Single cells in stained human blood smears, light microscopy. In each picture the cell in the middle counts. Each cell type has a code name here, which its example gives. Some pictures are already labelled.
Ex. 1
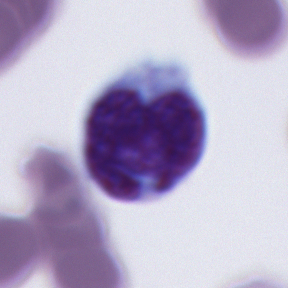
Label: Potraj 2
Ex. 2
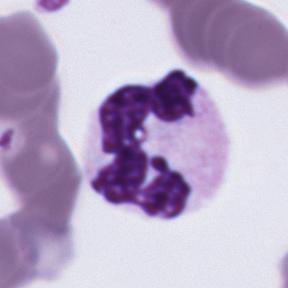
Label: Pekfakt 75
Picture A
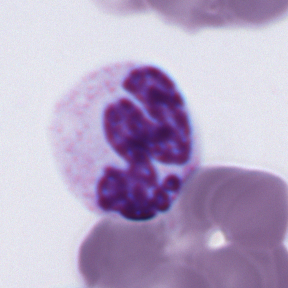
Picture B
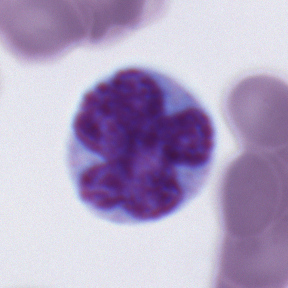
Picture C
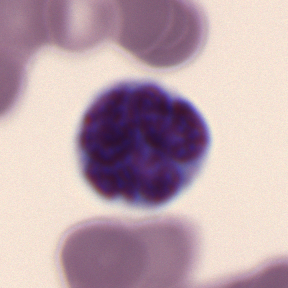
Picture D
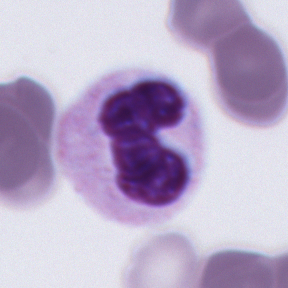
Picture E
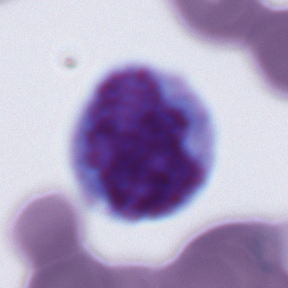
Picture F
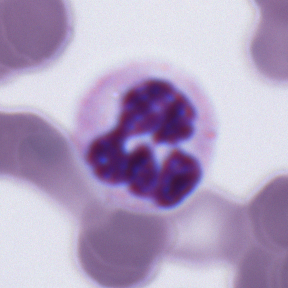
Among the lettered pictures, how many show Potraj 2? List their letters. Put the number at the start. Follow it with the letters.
3: B, C, E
